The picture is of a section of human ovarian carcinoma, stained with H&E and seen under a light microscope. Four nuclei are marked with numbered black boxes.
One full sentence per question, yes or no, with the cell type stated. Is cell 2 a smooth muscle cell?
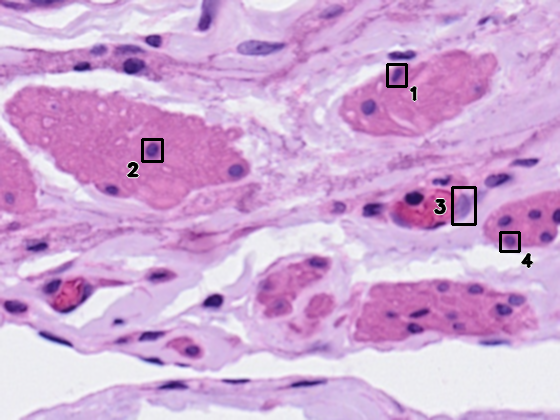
Yes, the numbered nucleus 2 is that of a smooth muscle cell.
